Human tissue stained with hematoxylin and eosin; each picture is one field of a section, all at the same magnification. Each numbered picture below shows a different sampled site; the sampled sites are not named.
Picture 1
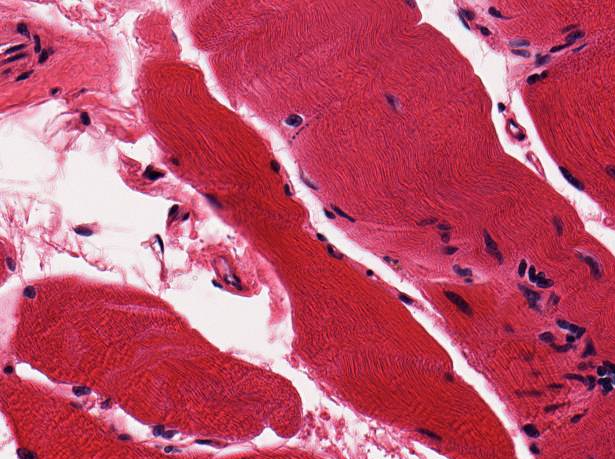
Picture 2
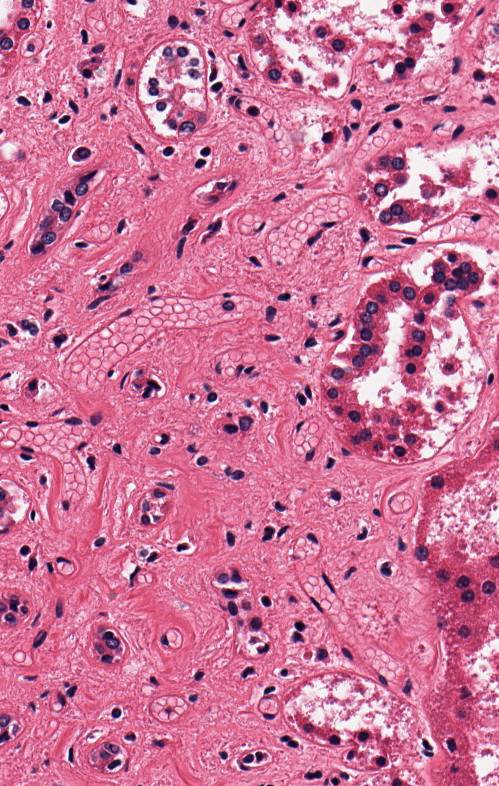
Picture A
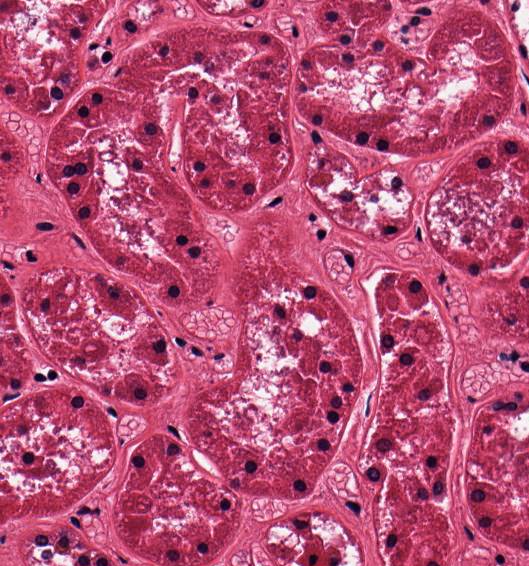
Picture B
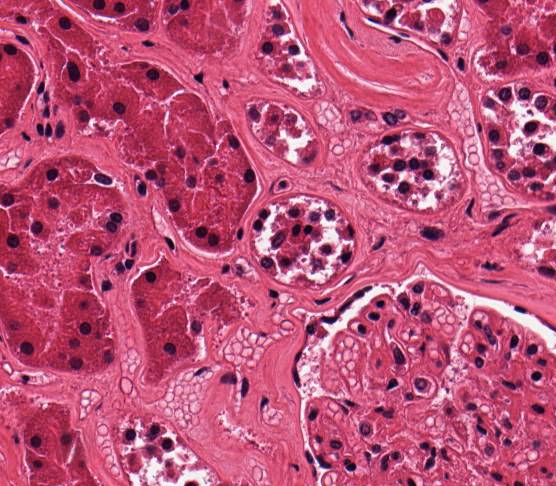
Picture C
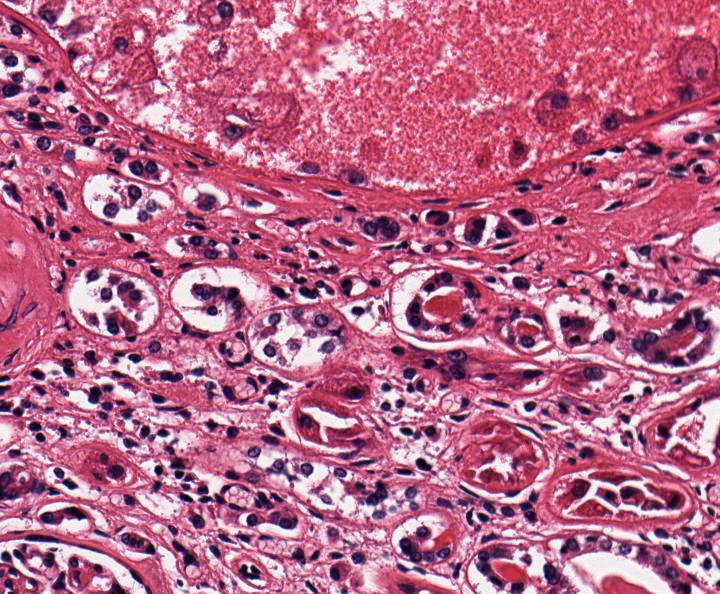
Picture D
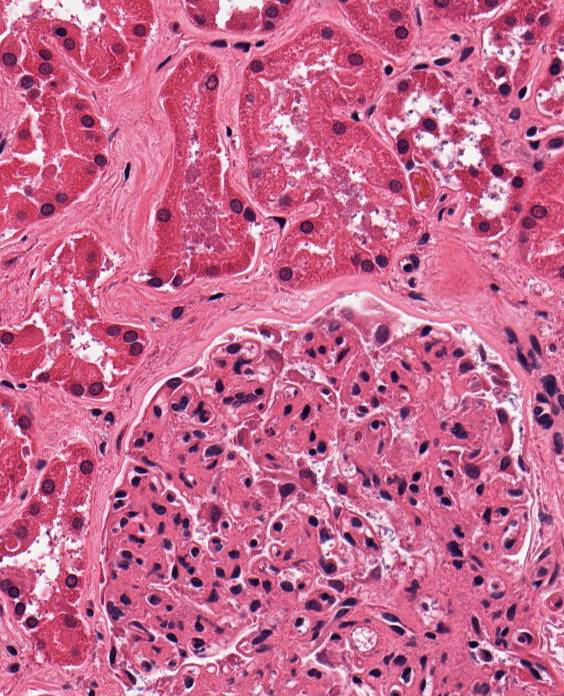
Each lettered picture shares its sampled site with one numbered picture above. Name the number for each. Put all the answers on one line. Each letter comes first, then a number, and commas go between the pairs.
A 2, B 2, C 2, D 2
